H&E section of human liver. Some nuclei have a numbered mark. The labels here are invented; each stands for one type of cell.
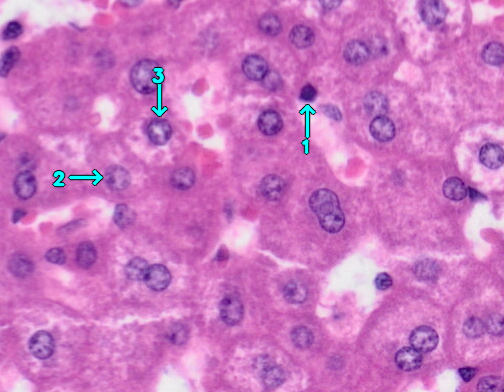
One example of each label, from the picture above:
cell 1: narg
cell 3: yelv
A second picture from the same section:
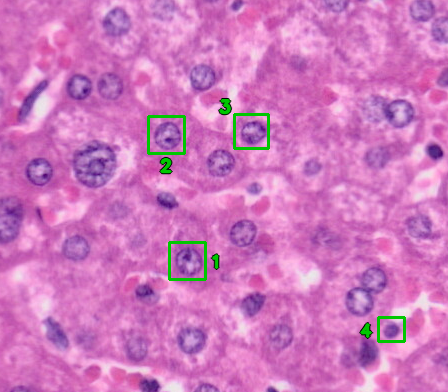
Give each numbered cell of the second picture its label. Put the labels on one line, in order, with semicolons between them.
yelv; yelv; yelv; narg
